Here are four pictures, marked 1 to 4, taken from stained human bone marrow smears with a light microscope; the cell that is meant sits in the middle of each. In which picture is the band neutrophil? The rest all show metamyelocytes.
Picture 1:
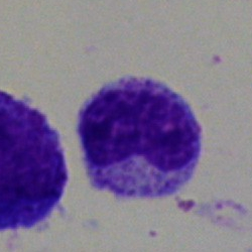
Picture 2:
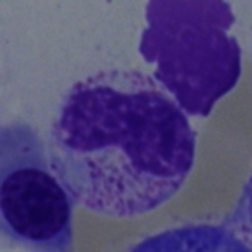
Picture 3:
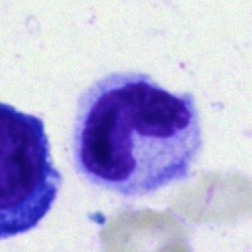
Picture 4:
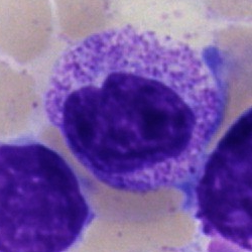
3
